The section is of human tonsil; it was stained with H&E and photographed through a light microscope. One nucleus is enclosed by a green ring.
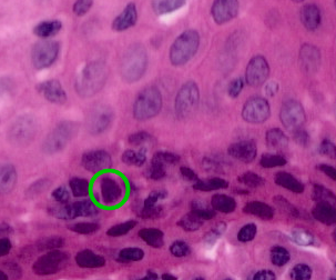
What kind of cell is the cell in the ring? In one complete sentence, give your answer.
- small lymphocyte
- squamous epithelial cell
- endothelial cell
With respect to cell type, the cell in the ring is a squamous epithelial cell.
